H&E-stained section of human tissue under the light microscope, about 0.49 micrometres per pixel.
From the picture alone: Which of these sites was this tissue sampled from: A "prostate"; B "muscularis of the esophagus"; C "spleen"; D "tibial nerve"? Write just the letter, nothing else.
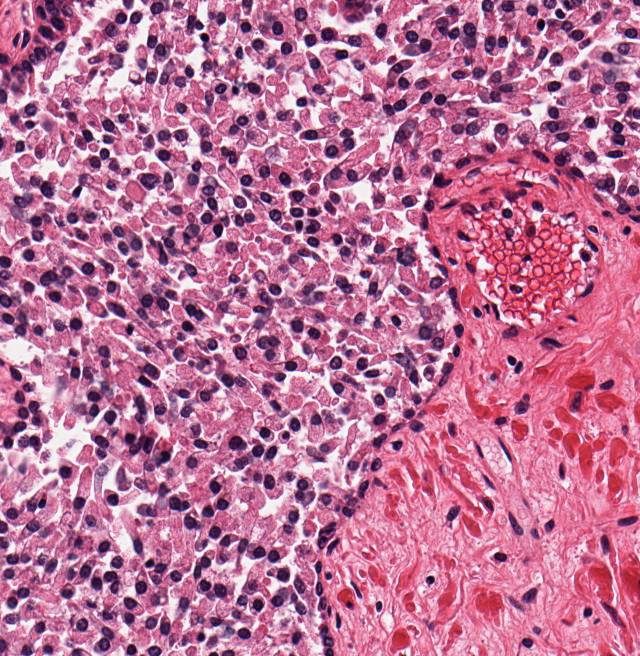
A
